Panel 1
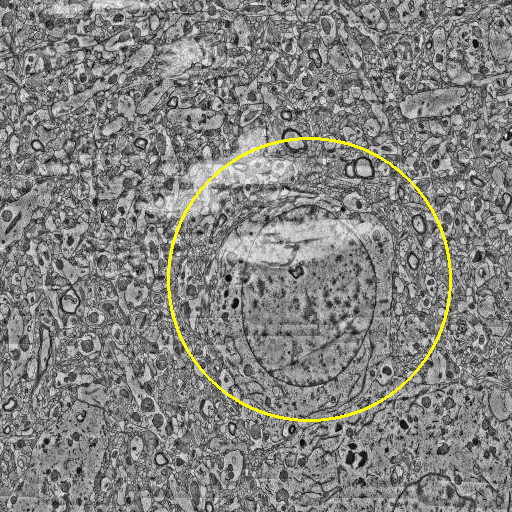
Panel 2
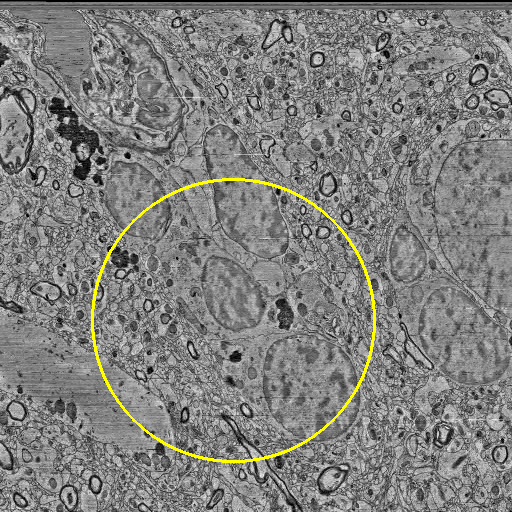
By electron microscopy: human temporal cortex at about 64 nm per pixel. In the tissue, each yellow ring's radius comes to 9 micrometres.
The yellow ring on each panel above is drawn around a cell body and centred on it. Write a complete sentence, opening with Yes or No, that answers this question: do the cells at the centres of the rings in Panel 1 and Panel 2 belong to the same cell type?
No, the two cells belong to two cell types.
